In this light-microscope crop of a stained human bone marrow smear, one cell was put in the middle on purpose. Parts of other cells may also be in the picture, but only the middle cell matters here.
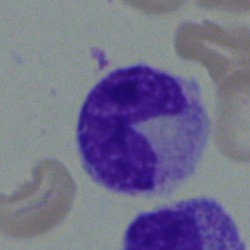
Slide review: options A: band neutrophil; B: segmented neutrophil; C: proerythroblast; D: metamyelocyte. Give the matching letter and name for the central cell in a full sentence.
The middle of the crop holds a band neutrophil, which points to option A.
